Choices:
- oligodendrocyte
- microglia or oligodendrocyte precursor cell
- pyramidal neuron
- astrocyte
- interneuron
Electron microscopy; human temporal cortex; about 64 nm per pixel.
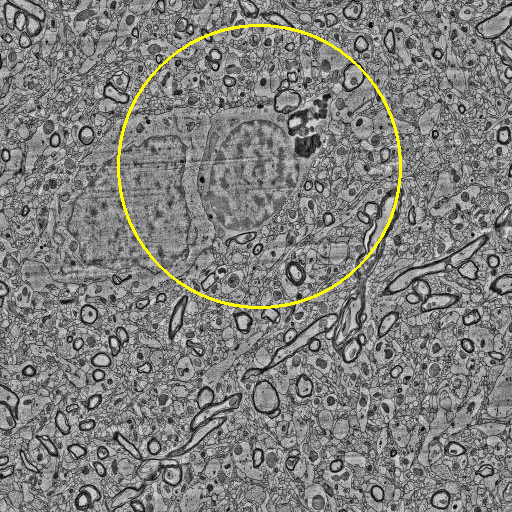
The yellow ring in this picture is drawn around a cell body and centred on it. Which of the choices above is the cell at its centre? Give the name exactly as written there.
oligodendrocyte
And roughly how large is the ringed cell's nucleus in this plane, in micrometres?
The nucleus measures about 7 by 5 micrometres in this plane.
